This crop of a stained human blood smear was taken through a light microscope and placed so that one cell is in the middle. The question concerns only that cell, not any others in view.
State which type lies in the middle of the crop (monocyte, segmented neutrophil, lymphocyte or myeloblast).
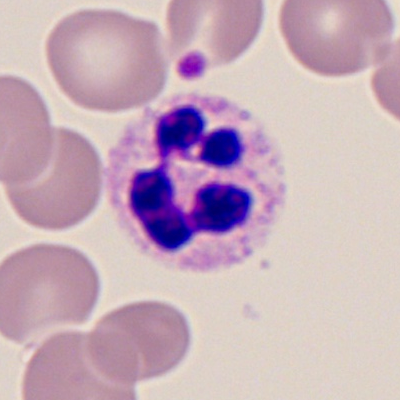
segmented neutrophil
